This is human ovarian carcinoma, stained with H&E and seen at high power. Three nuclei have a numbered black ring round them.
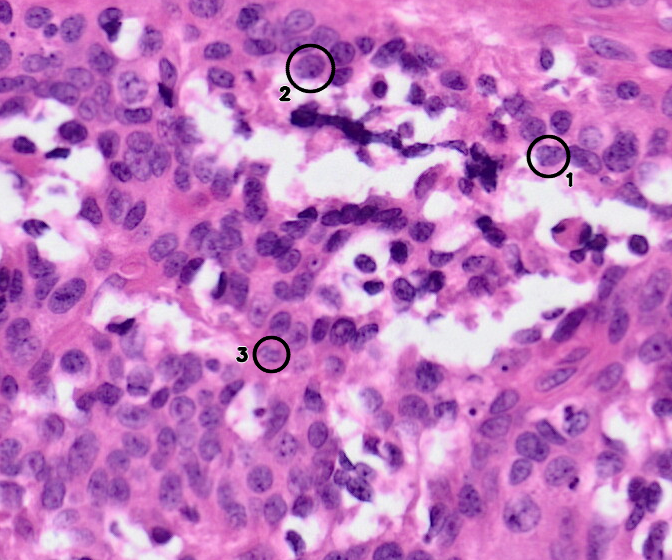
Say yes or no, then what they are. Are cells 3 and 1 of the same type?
No, the cell bearing number 3 is an endothelial cell, while the one bearing number 1 is a macrophage or monocyte.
